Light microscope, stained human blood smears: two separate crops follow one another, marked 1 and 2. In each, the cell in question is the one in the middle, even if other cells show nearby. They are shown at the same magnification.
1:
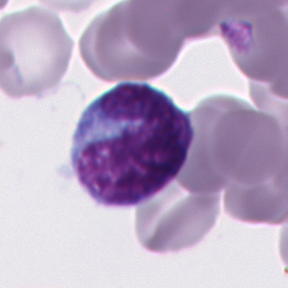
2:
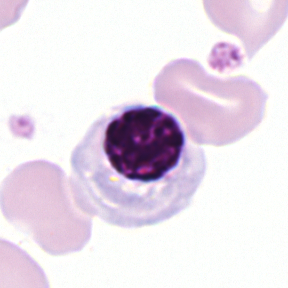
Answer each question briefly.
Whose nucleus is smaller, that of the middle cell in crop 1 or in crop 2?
2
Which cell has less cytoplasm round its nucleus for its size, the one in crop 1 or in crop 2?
1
